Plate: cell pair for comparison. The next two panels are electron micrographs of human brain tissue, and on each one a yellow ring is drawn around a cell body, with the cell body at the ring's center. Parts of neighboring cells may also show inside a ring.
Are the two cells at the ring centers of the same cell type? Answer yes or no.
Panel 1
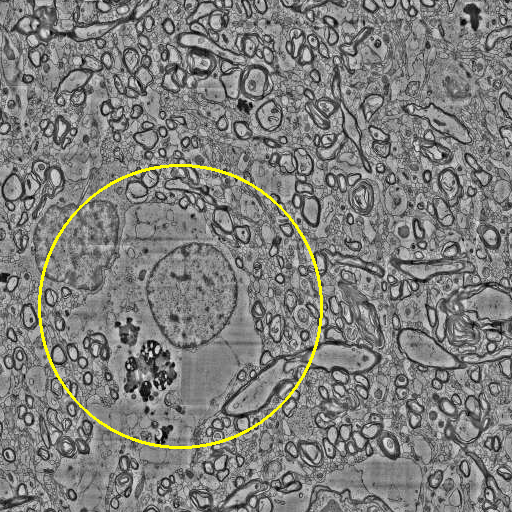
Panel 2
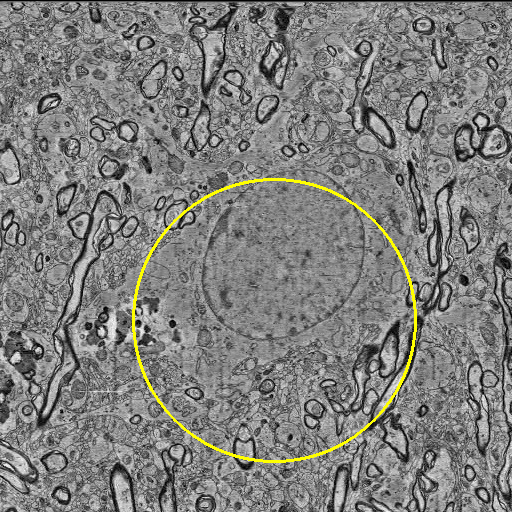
yes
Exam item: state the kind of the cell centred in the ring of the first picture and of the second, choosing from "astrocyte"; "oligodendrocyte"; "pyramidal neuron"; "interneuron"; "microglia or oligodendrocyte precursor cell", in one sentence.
Each of the two cells is an astrocyte.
